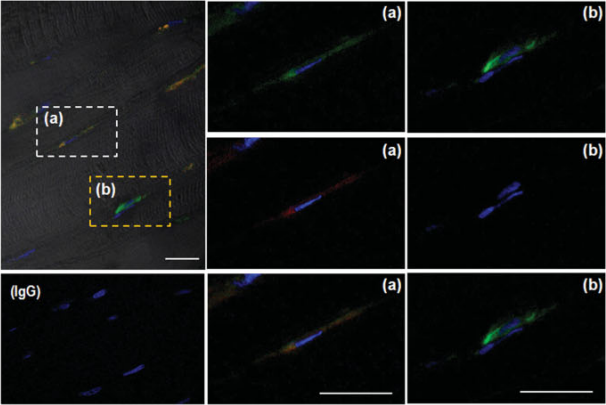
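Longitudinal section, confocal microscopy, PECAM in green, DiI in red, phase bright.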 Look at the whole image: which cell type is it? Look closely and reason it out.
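Skeletal myocytes. Long parallel grey fibres in the phase image. Faint cross-striations run across the fibres.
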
